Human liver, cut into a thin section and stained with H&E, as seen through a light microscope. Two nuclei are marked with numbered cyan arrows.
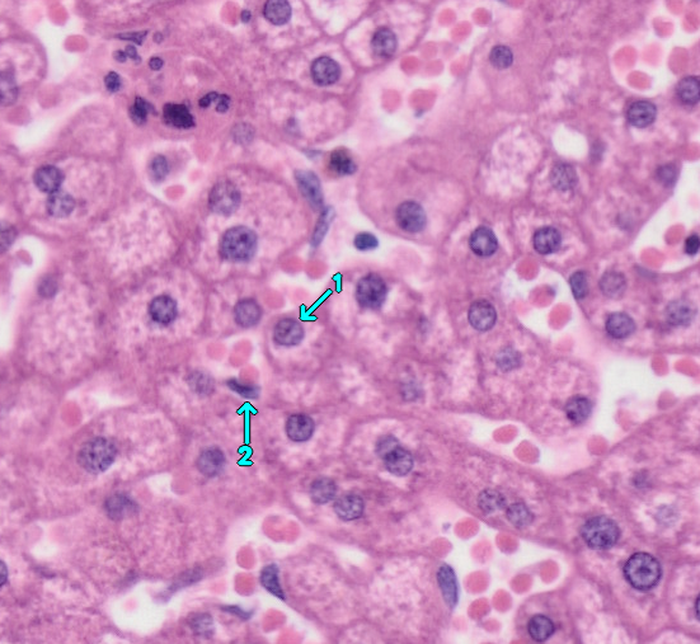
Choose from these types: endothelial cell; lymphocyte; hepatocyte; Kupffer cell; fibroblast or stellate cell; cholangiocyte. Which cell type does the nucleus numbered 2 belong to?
endothelial cell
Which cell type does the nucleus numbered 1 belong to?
hepatocyte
